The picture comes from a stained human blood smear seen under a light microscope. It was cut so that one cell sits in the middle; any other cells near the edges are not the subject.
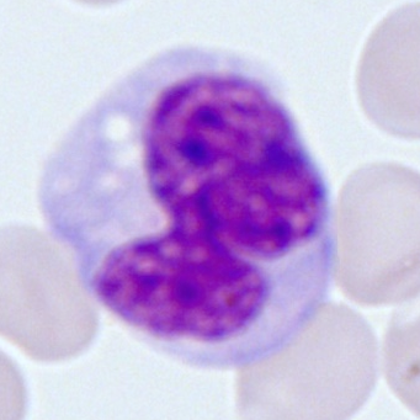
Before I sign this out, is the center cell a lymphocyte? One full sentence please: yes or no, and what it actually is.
No, the cell found centrally in the crop is a monocyte, not a lymphocyte.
